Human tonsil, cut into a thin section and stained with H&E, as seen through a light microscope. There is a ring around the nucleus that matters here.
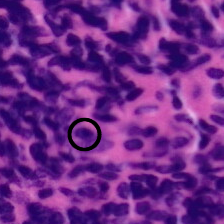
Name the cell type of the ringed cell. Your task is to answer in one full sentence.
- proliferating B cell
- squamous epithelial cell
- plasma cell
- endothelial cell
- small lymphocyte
The category to which the ringed cell belongs is that of an endothelial cell.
